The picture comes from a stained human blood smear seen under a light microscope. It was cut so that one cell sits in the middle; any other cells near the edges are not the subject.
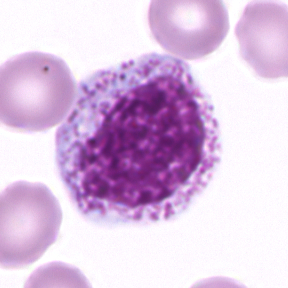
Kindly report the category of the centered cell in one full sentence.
Classification of the middle cell gives a metamyelocyte.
